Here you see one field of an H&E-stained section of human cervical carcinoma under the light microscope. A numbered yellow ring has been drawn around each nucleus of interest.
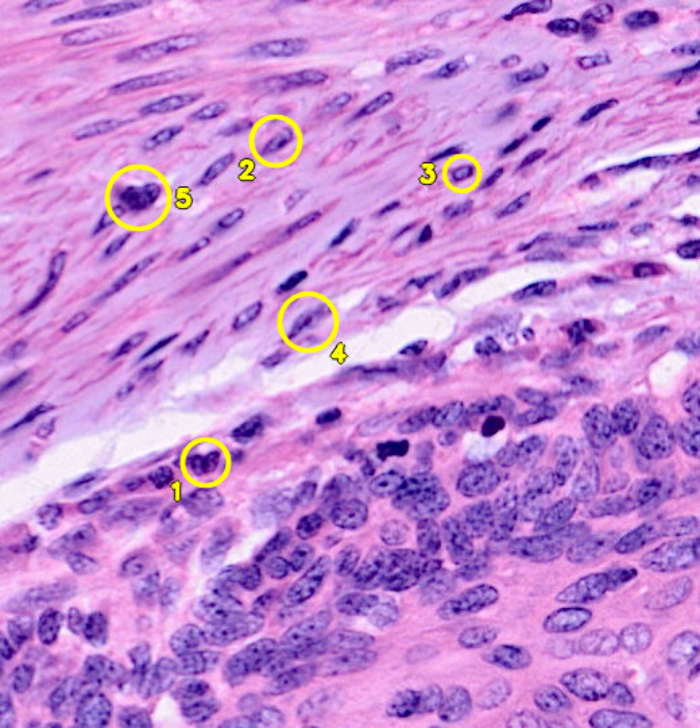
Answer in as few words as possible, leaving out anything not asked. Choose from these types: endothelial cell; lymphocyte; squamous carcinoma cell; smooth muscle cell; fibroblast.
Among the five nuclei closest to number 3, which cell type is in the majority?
smooth muscle cell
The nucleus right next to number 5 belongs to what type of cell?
smooth muscle cell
